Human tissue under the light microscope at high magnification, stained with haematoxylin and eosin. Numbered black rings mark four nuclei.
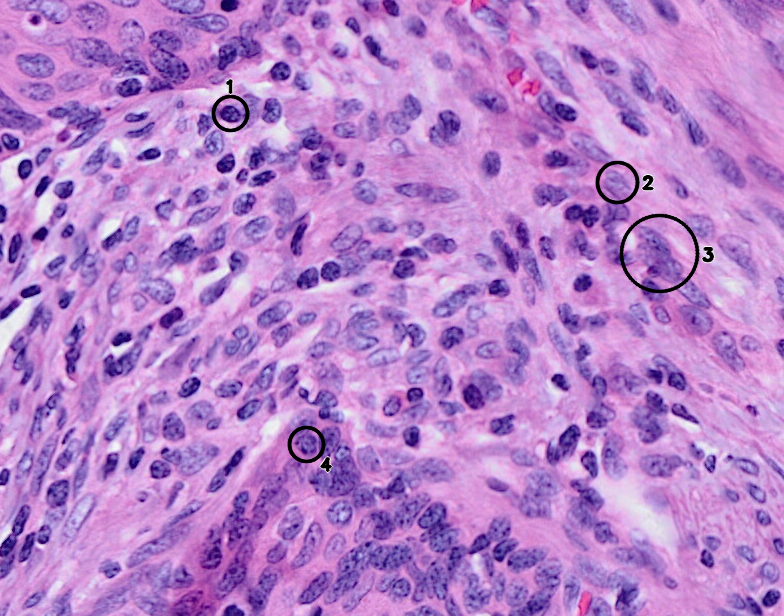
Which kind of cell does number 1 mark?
lymphocyte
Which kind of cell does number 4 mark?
squamous carcinoma cell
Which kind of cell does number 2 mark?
endothelial cell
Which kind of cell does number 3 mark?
endothelial cell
